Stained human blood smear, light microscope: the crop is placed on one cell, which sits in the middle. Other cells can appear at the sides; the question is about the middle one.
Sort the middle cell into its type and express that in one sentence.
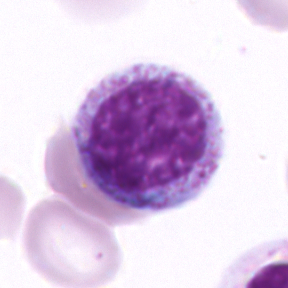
The cell in the middle of the field of view is a metamyelocyte.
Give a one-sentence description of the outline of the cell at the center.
Thanks for asking; the cell edge is smooth and has no projections.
